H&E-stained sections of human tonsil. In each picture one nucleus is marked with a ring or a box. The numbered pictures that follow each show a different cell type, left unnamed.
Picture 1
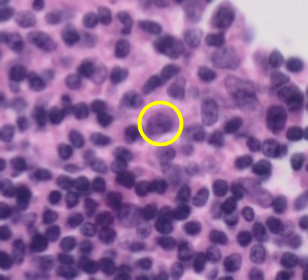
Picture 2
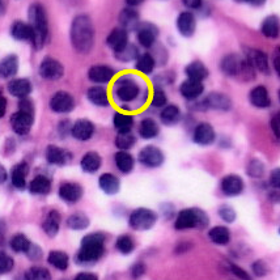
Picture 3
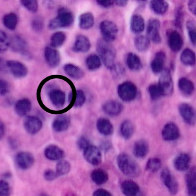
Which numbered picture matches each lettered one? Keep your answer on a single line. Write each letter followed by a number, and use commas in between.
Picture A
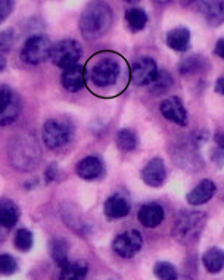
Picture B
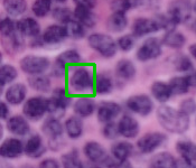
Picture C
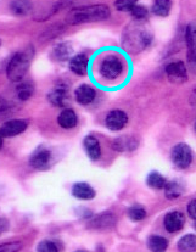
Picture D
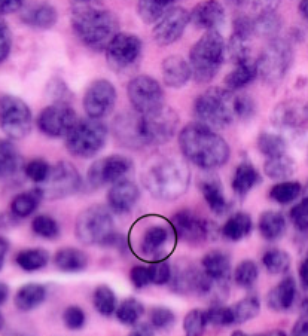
A 3, B 2, C 3, D 1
